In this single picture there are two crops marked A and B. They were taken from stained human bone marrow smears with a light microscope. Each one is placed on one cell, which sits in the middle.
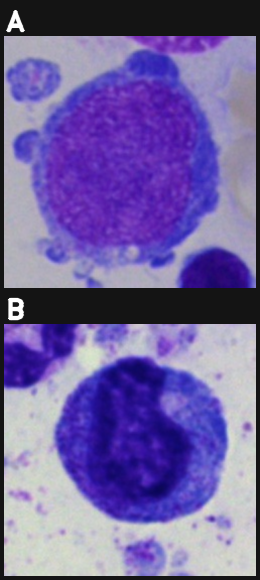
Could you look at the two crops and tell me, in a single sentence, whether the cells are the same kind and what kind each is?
No, the cell at the middle of crop A is a blast, while crop B centres on a promyelocyte.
